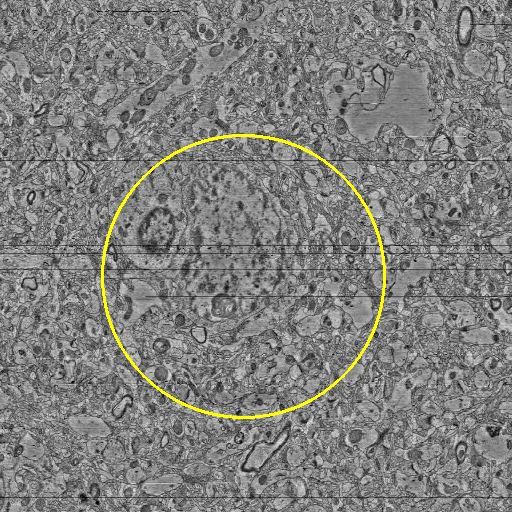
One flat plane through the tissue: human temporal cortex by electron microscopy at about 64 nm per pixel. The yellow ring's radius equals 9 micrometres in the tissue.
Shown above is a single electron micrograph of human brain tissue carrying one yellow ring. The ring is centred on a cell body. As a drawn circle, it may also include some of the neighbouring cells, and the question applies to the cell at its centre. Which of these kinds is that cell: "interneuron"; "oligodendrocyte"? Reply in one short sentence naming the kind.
The cell marked by the ring is an interneuron.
